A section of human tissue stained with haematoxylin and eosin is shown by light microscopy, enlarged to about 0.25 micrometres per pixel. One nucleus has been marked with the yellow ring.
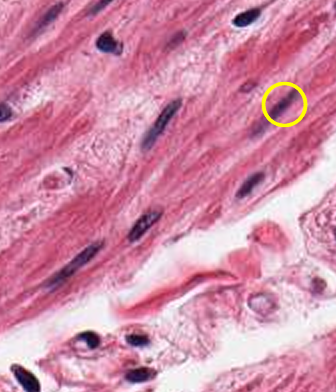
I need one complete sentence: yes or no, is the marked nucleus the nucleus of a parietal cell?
No, the marked nucleus does not count as part of a parietal cell.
